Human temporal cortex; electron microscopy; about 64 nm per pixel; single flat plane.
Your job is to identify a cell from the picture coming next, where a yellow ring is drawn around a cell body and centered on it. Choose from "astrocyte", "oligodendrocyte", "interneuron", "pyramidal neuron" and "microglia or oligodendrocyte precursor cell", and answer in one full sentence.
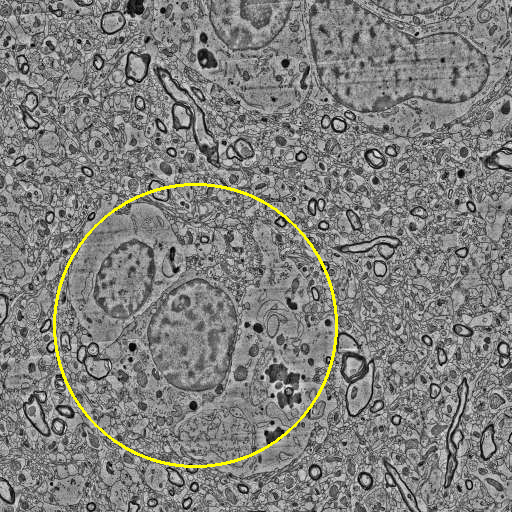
Centered in the yellow ring of the picture is the body of an oligodendrocyte.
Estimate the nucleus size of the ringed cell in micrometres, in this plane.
In this plane the nucleus spans approximately 7 by 6 micrometers.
